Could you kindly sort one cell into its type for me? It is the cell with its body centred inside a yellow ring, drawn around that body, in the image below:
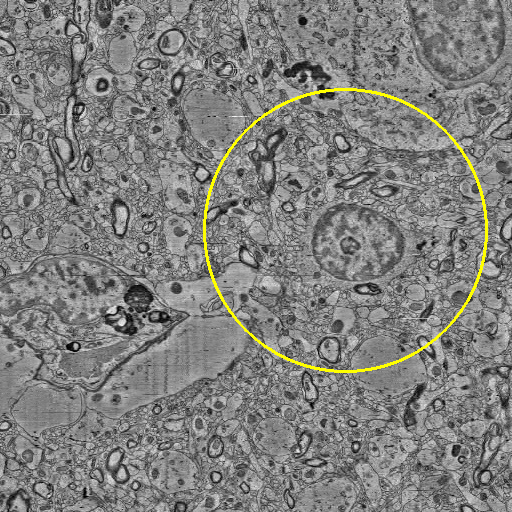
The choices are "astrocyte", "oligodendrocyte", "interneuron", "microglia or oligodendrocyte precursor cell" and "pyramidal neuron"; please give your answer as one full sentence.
The cell whose body lies centred in the yellow ring here is an oligodendrocyte.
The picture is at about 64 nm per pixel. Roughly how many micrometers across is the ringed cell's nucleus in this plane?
About 5 micrometers across, in this plane.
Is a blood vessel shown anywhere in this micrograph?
Yes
